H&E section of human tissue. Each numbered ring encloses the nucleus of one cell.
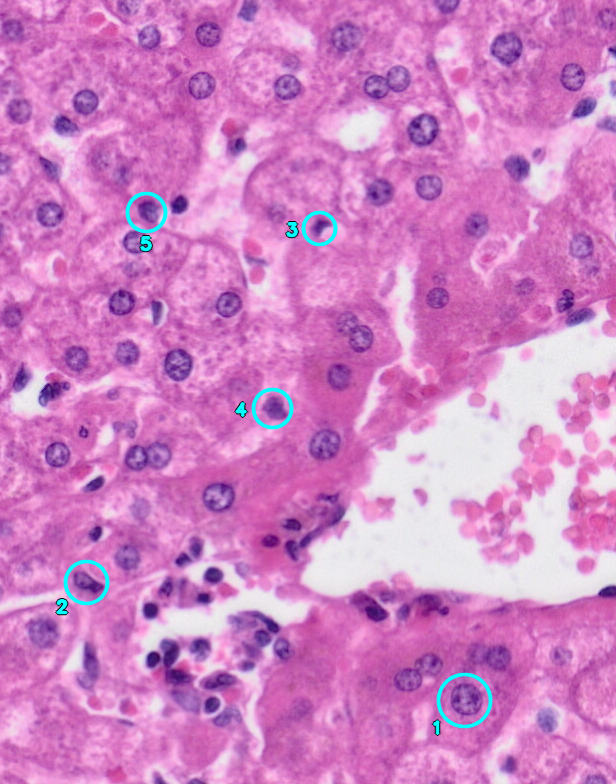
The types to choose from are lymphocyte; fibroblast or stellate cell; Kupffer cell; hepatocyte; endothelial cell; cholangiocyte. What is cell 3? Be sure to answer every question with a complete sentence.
Cell 3 in the field of view is an endothelial cell.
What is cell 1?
The marked cell bearing number 1 is a hepatocyte.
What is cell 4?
The cell pointed out by number 4 is an endothelial cell.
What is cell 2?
The identity of cell 2 is that of a Kupffer cell.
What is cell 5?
Corresponding to a fibroblast or stellate cell is the cell labelled 5.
